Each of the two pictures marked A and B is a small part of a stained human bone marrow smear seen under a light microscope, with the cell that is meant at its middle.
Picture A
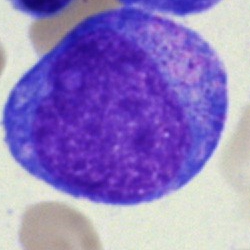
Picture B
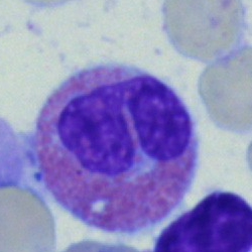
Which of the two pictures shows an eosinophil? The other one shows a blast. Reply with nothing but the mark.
B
